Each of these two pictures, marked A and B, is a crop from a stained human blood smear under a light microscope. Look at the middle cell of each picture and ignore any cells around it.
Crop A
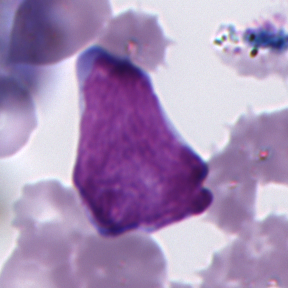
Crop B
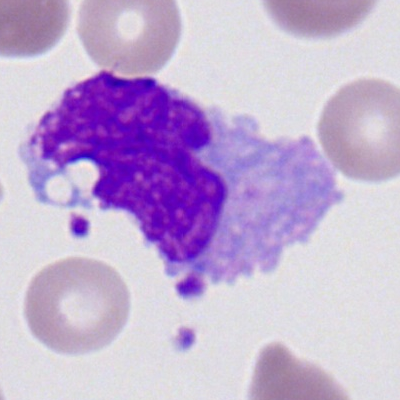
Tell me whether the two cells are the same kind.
no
